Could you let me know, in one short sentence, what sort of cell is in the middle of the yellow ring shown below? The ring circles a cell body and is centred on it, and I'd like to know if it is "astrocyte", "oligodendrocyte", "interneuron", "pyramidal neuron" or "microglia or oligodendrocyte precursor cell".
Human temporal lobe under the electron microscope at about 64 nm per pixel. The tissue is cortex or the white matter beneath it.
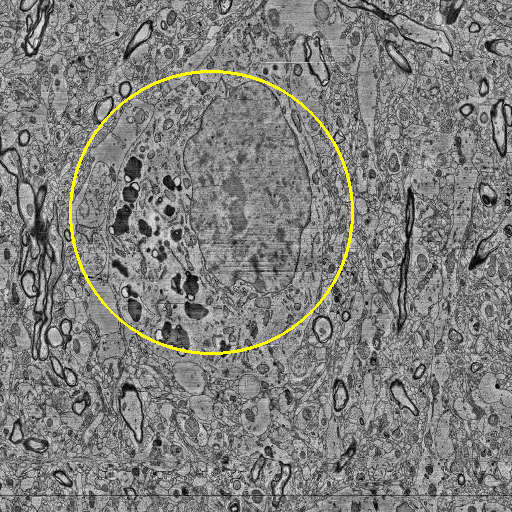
The ring circles the cell body of an interneuron.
